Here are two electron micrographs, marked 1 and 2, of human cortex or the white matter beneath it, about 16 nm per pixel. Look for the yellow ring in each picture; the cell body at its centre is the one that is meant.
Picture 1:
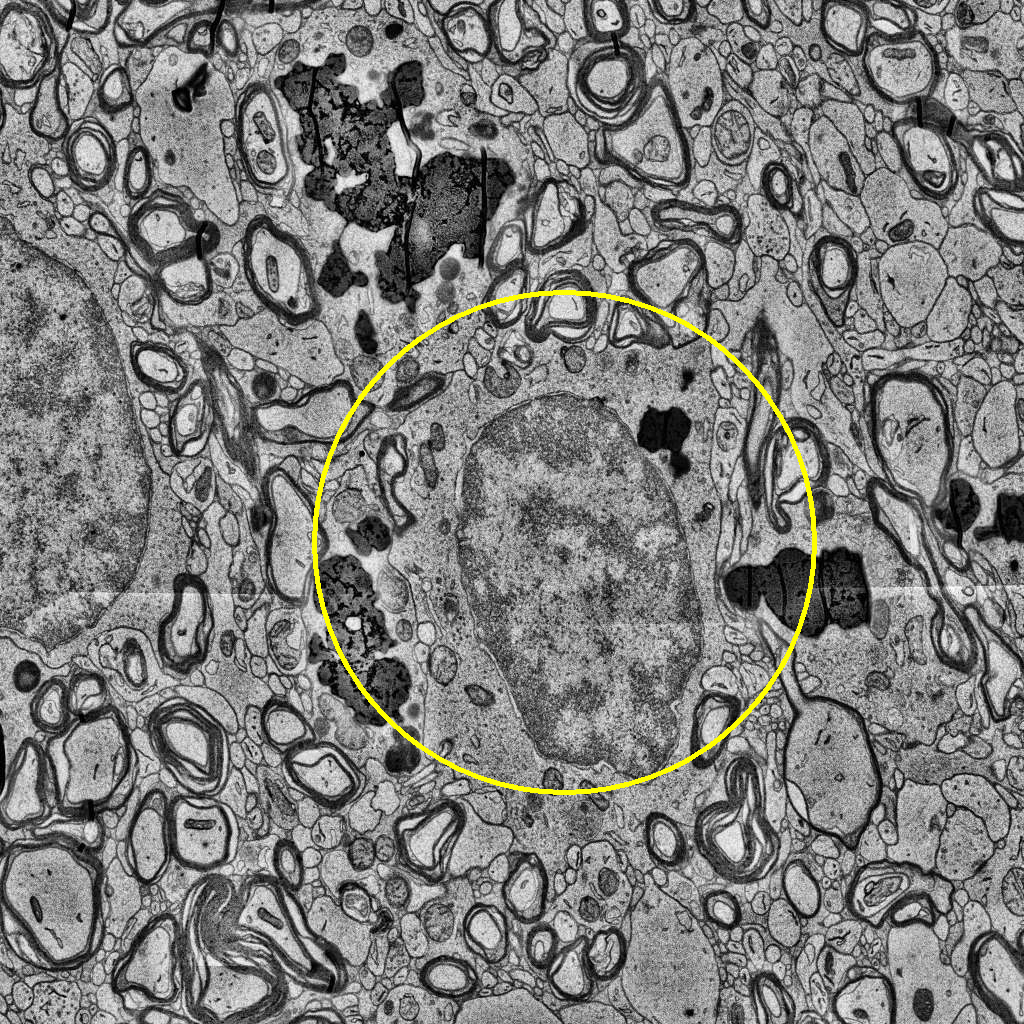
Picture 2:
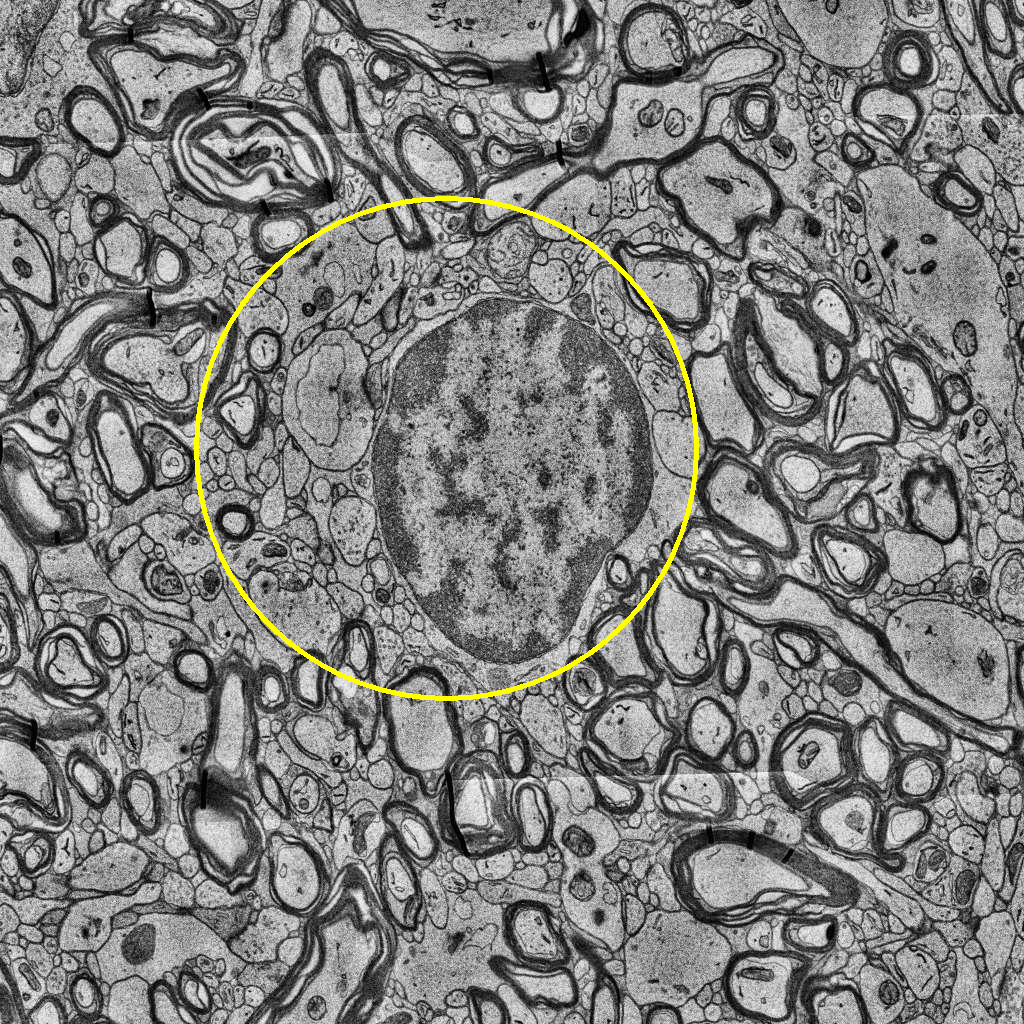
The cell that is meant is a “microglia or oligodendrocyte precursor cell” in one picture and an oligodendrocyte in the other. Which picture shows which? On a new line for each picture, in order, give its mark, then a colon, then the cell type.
1: oligodendrocyte
2: microglia or oligodendrocyte precursor cell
